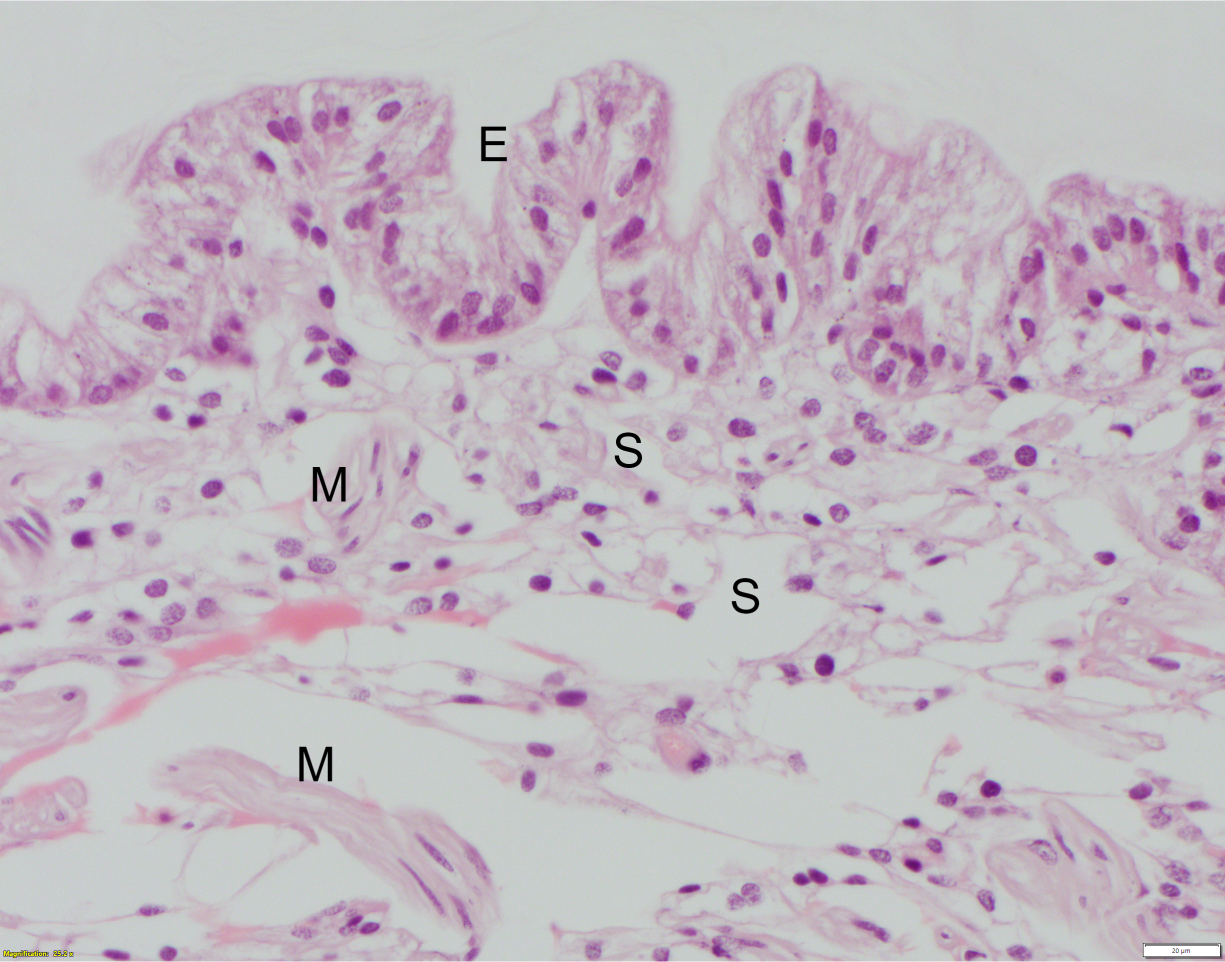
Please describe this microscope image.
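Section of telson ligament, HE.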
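This section shows a surface epidermis of tall columnar cells over loose tissue with wide sinuses. Beneath the epidermis are large, empty-looking spaces crossed by fine, thin strands bearing small, scattered nuclei. Within this loose tissue lie small clusters of elongated pink fibers running in parallel bundles. Streaks of bright pink material lie in some spaces. No inflammatory cell infiltrates or damage are evident.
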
